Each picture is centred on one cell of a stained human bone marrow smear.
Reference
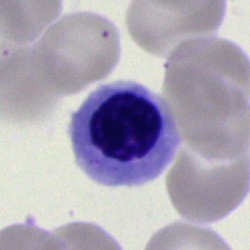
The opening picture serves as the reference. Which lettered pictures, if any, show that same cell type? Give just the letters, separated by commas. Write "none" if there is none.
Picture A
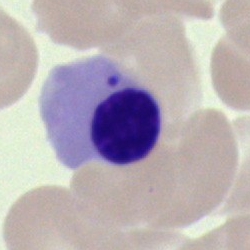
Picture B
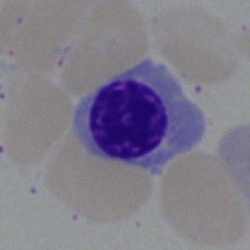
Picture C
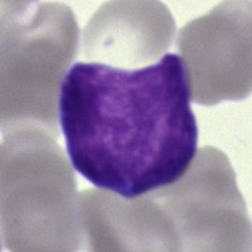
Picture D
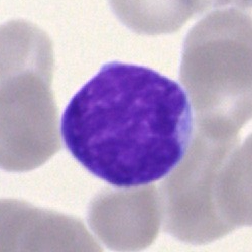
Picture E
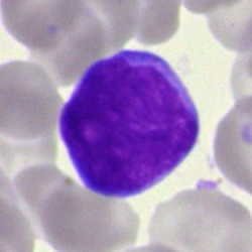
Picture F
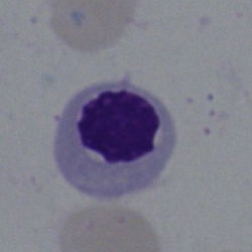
A, B, F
